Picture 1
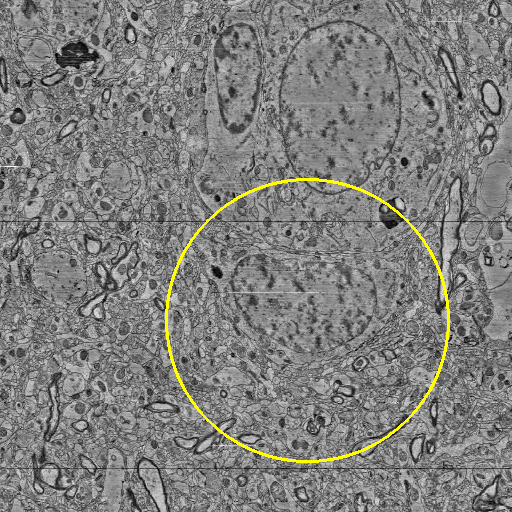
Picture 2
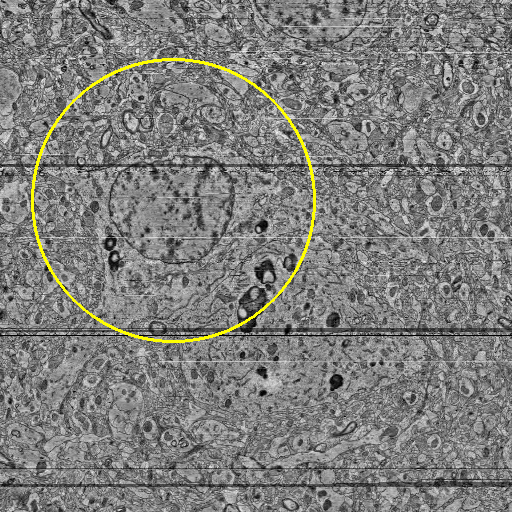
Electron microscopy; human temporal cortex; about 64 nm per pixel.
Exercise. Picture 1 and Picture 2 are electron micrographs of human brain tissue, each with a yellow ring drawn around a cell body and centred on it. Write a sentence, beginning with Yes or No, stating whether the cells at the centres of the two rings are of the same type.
No, the cells at the centres of the rings are of two types.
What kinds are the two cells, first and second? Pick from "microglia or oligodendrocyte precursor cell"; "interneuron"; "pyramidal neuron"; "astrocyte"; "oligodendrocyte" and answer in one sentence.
The second picture holds a pyramidal neuron in its ring, and the first holds an interneuron.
